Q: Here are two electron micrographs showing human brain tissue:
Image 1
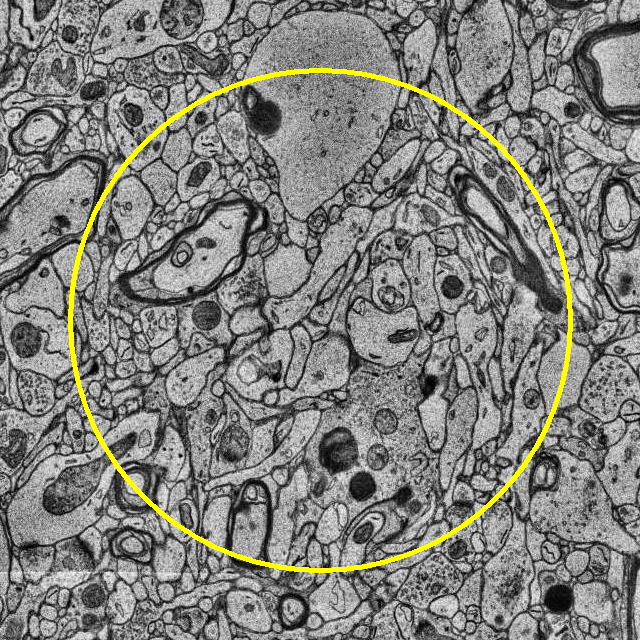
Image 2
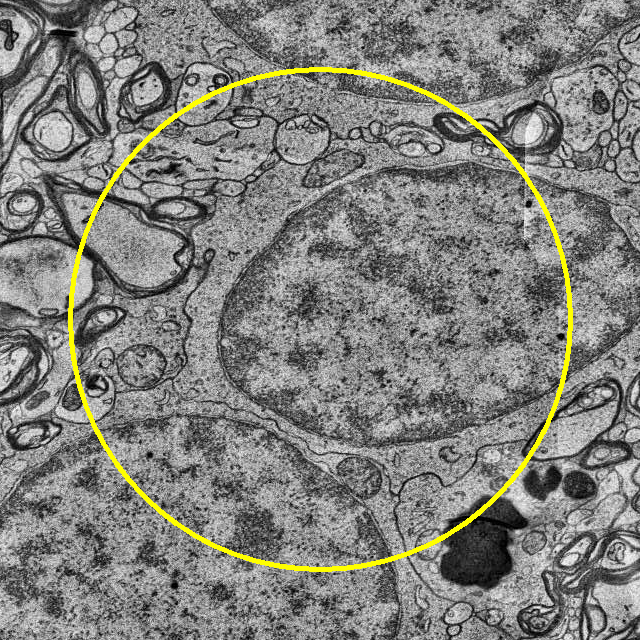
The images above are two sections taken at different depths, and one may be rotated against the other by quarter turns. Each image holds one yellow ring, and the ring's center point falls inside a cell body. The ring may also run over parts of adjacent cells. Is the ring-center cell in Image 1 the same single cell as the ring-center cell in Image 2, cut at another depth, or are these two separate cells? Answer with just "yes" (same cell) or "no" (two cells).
no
